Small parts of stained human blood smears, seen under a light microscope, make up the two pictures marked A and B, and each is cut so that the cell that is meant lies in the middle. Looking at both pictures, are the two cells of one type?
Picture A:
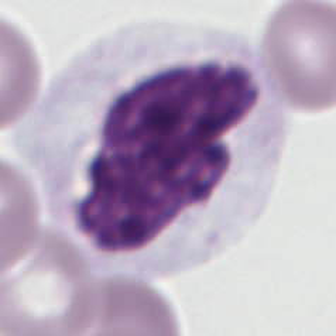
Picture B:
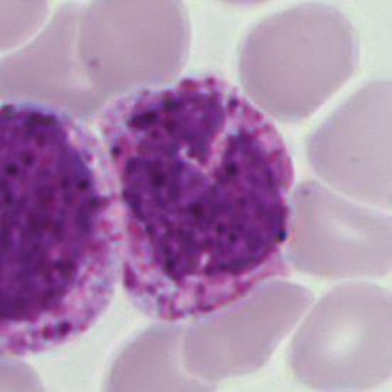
no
